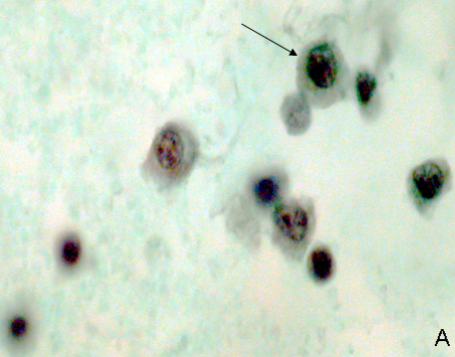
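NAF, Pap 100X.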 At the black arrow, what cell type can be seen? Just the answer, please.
single atypical cells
